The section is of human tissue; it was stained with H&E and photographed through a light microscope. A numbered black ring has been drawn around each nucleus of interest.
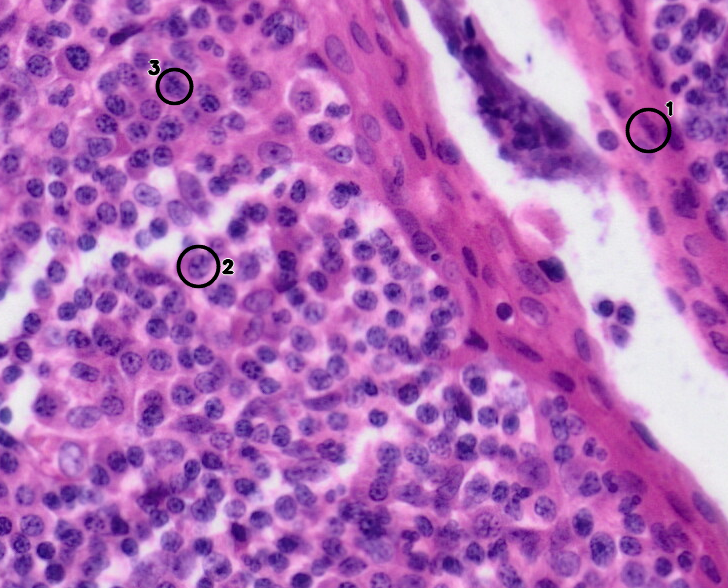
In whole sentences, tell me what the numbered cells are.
Cell 1 is a squamous epithelial cell, cell 2 is a plasma cell and cell 3 is a plasma cell.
